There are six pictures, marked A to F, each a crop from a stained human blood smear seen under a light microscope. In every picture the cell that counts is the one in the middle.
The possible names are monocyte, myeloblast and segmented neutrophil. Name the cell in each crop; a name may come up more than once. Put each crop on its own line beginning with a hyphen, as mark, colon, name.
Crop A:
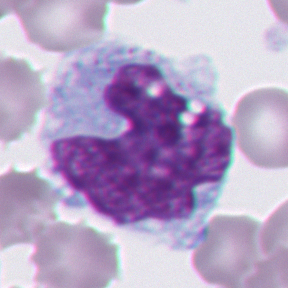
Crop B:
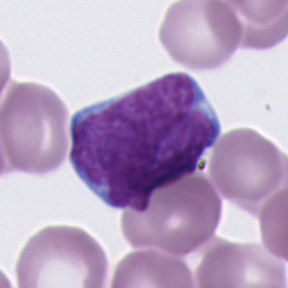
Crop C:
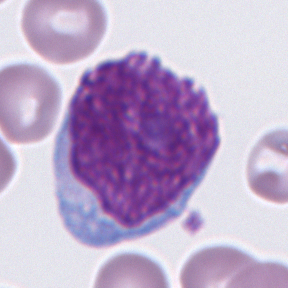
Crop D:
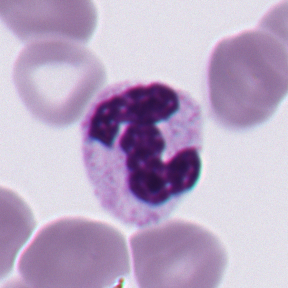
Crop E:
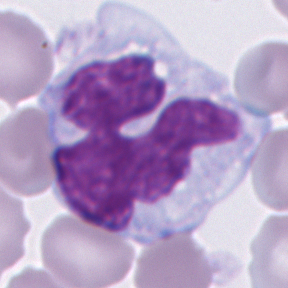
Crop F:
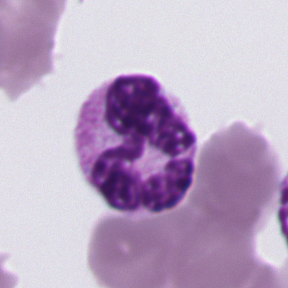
- A: monocyte
- B: myeloblast
- C: myeloblast
- D: segmented neutrophil
- E: monocyte
- F: segmented neutrophil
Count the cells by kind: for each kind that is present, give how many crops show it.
monocyte: 2
myeloblast: 2
segmented neutrophil: 2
